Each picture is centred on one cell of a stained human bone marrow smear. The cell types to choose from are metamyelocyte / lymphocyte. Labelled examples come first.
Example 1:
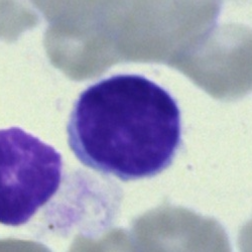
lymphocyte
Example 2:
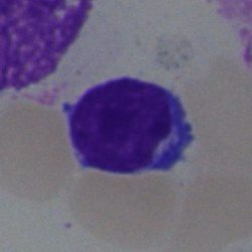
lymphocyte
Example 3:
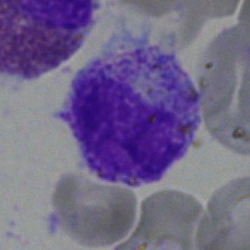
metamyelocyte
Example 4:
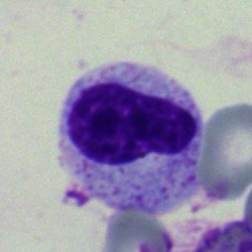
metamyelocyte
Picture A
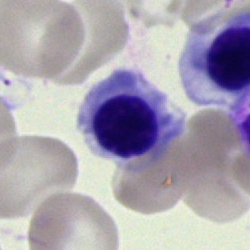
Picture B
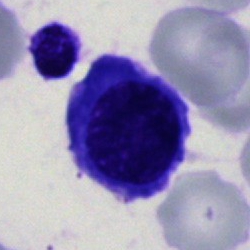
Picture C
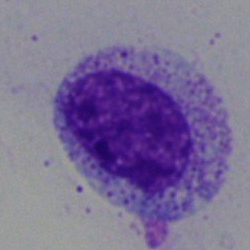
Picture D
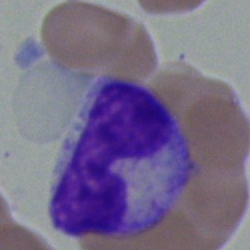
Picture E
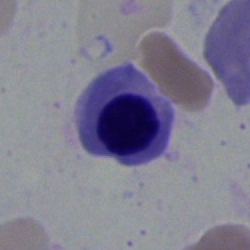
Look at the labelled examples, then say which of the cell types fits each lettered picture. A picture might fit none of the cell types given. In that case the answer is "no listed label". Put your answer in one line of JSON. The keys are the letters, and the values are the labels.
{"A": "no listed label", "B": "no listed label", "C": "metamyelocyte", "D": "metamyelocyte", "E": "no listed label"}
